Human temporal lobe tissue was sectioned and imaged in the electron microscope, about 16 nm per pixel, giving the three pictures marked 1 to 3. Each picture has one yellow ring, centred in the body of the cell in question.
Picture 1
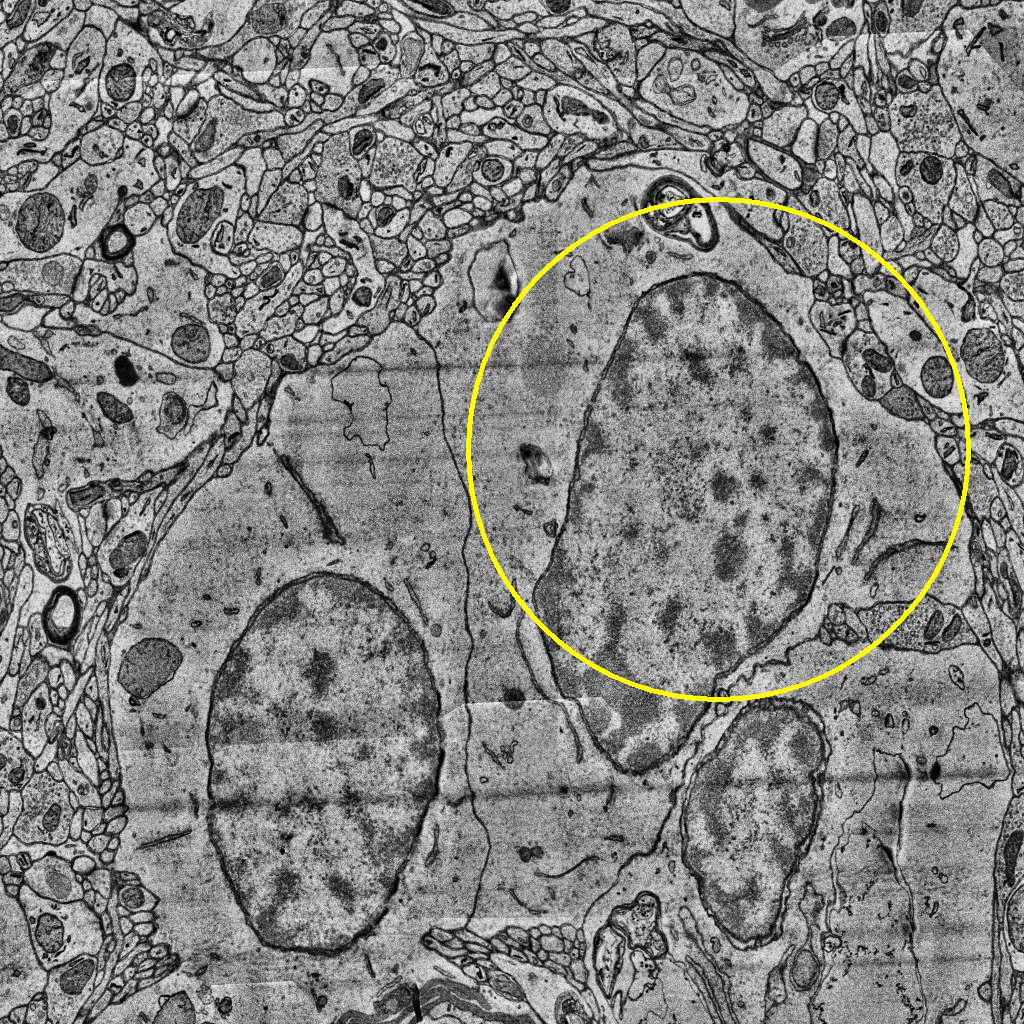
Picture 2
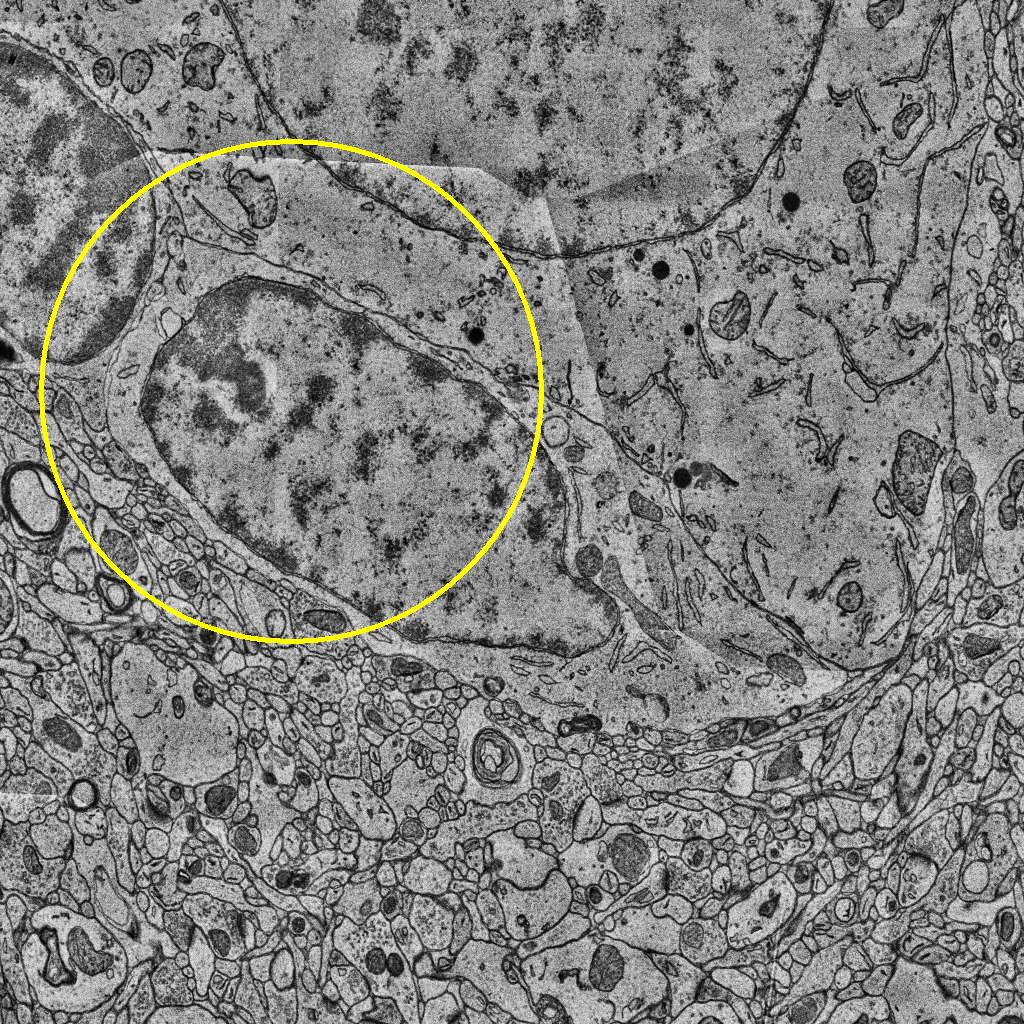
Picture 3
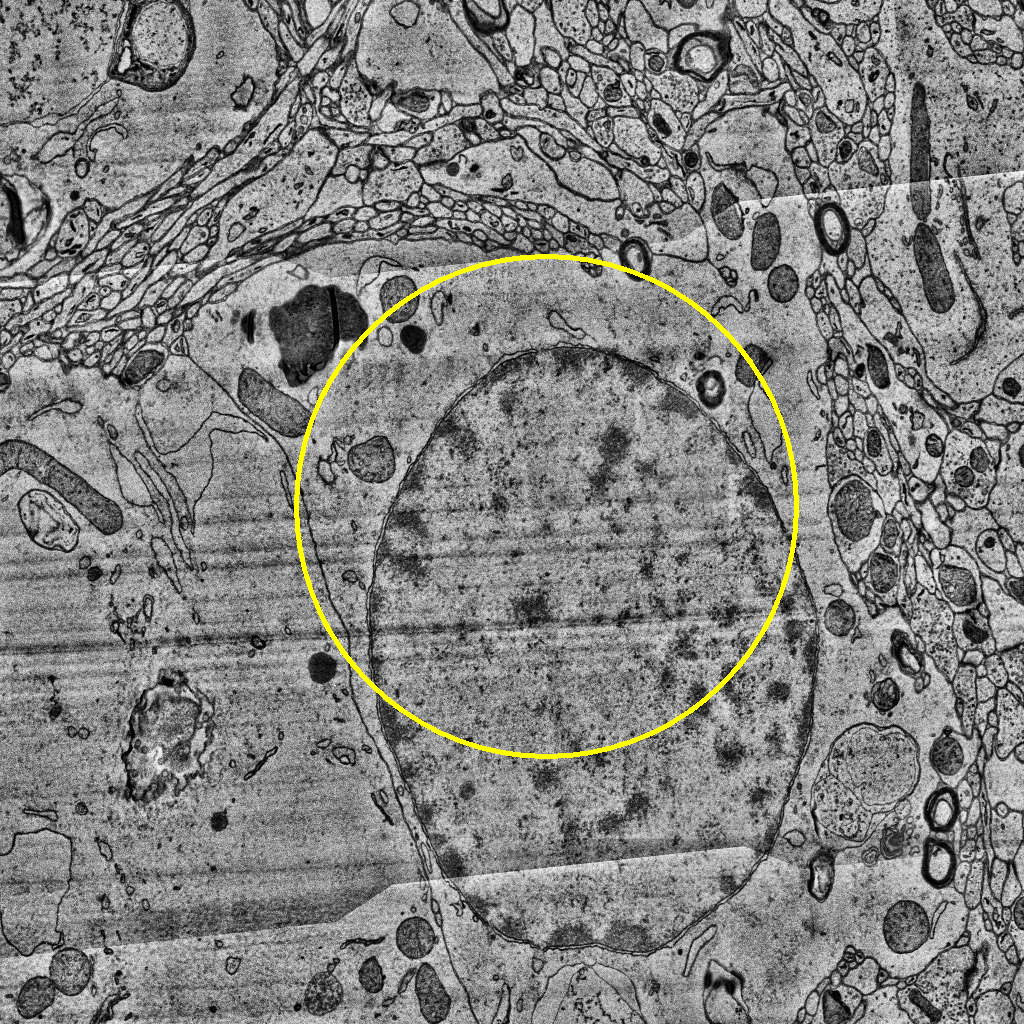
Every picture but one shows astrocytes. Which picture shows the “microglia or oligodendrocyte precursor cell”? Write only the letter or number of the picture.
2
